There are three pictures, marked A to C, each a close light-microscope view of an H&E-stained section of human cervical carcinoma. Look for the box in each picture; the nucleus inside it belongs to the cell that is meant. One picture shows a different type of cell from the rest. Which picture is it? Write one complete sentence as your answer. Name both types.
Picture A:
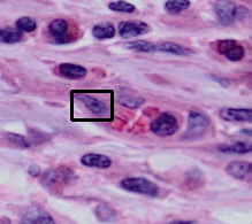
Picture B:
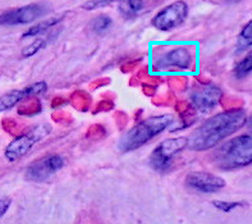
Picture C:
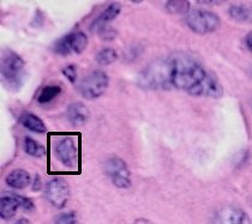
Picture C is the odd one out: it shows a squamous carcinoma cell, while the others show endothelial cells.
